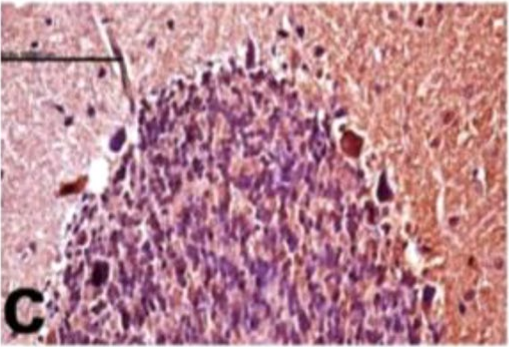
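This is cerebellar cortex with a dense granular layer of small, dark, round nuclei. Larger flask-shaped cells lie along its border with the pale, sparsely cellular surrounding layer.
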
